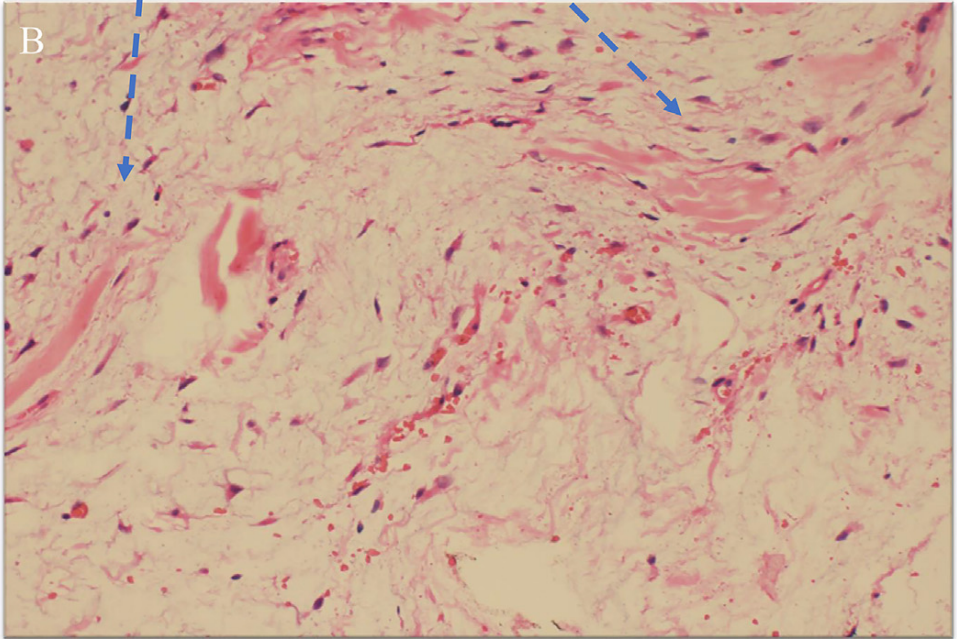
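This is a loose, pale pink, wispy stroma with sparse stellate to spindle-shaped cells. The cells have small, dark, elongated or angular nuclei, and some have thin tapering extensions. They lie scattered far apart in the stroma. Denser, bright pink fibrous bands run through the field, and small vessels filled with red blood cells lie among them.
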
